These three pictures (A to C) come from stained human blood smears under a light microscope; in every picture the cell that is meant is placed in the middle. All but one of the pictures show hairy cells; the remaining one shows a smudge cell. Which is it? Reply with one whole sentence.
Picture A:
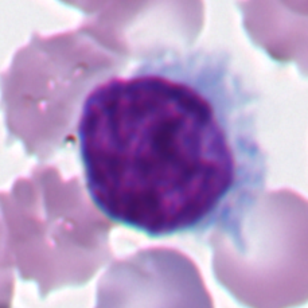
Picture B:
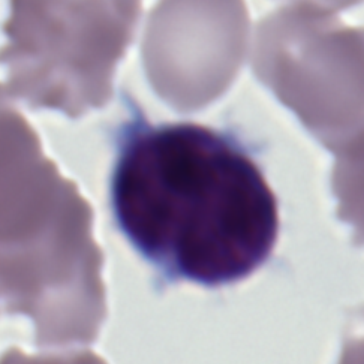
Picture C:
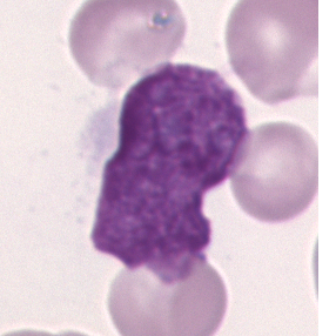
The picture with the smudge cell is C.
